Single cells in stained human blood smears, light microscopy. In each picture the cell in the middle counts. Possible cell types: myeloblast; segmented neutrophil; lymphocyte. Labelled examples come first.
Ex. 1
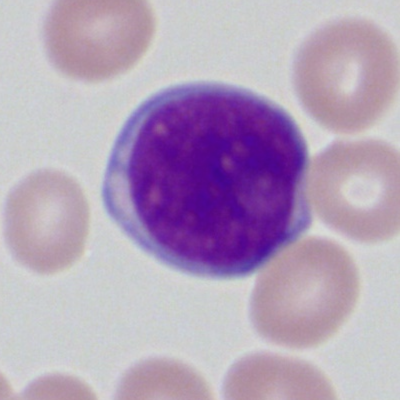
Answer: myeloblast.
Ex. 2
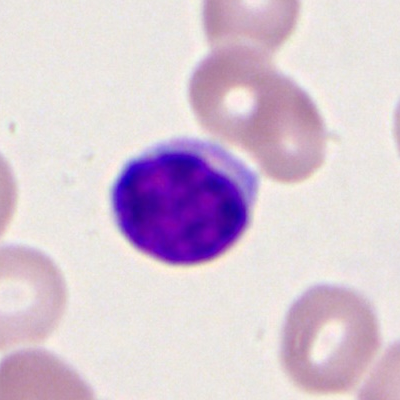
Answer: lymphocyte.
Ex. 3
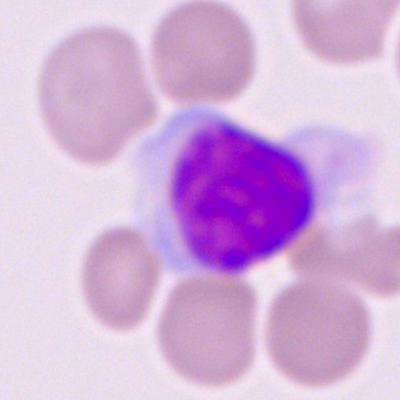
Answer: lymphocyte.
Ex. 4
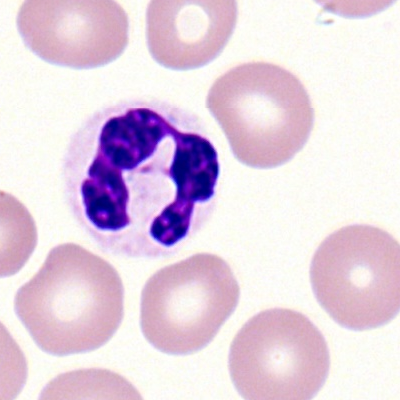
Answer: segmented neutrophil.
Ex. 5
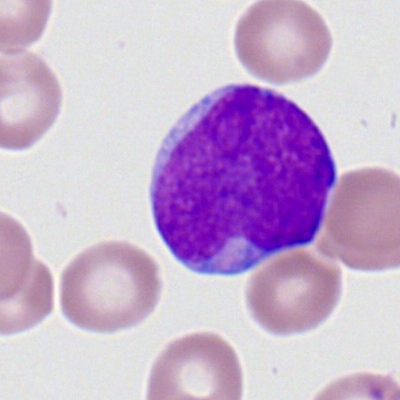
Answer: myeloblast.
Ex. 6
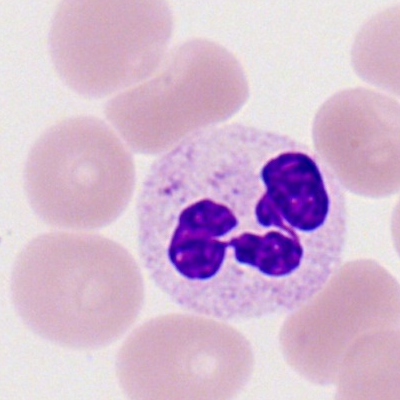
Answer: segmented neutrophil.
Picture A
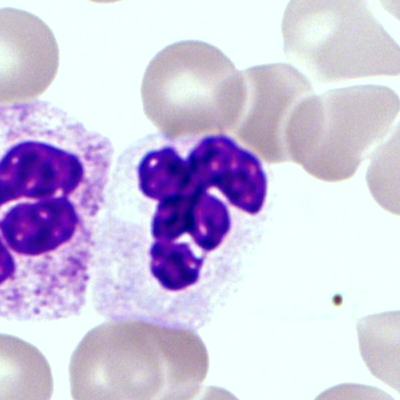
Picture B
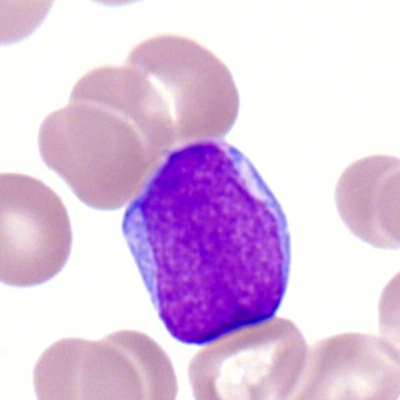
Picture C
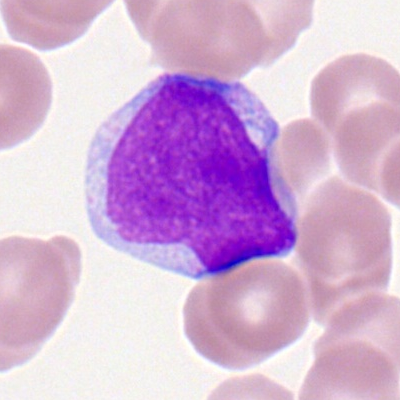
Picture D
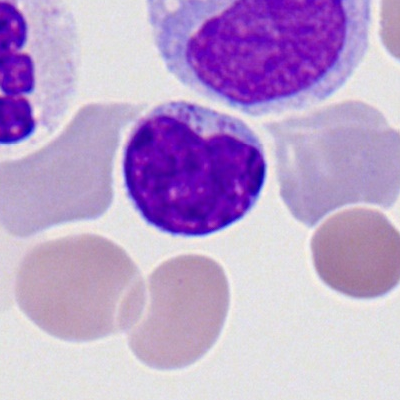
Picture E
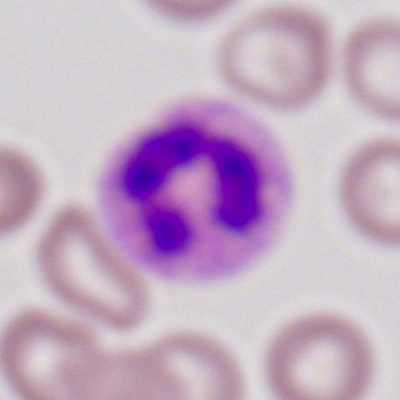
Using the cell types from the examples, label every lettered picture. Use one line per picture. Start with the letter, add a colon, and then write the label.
A: segmented neutrophil.
B: myeloblast.
C: myeloblast.
D: lymphocyte.
E: segmented neutrophil.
